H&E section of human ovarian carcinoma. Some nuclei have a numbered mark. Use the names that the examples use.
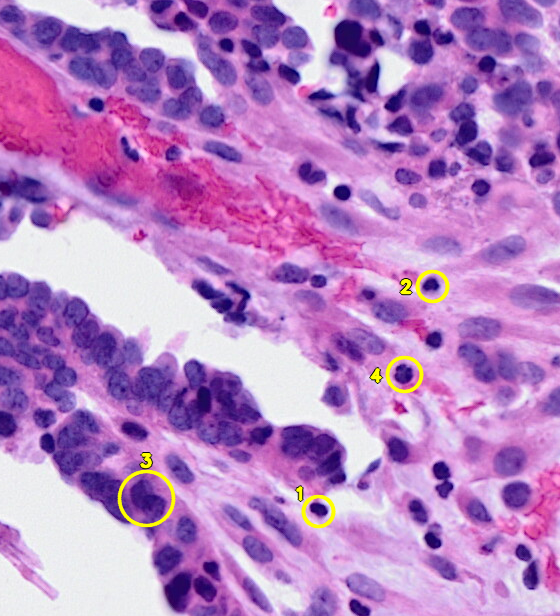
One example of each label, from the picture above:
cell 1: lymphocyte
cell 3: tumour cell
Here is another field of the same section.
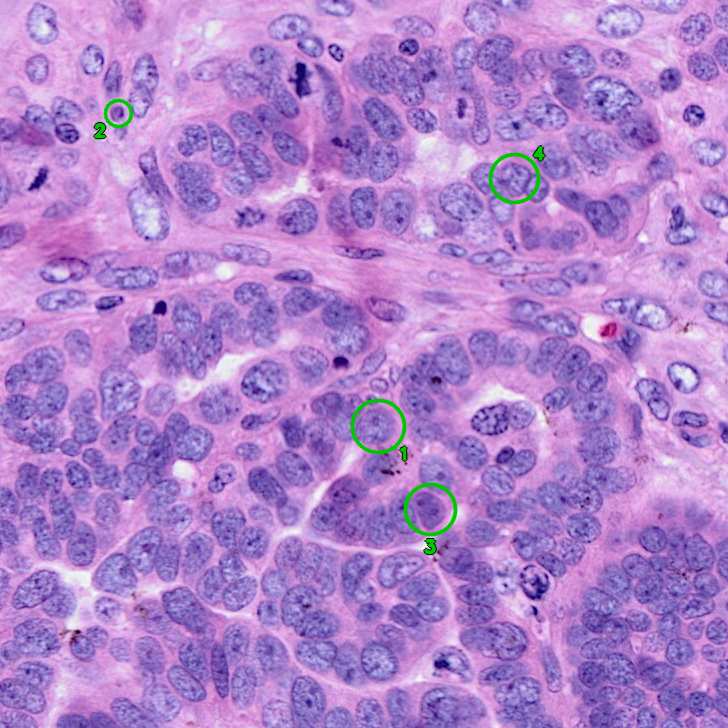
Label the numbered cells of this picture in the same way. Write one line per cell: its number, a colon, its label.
1: tumour cell
2: lymphocyte
3: tumour cell
4: tumour cell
